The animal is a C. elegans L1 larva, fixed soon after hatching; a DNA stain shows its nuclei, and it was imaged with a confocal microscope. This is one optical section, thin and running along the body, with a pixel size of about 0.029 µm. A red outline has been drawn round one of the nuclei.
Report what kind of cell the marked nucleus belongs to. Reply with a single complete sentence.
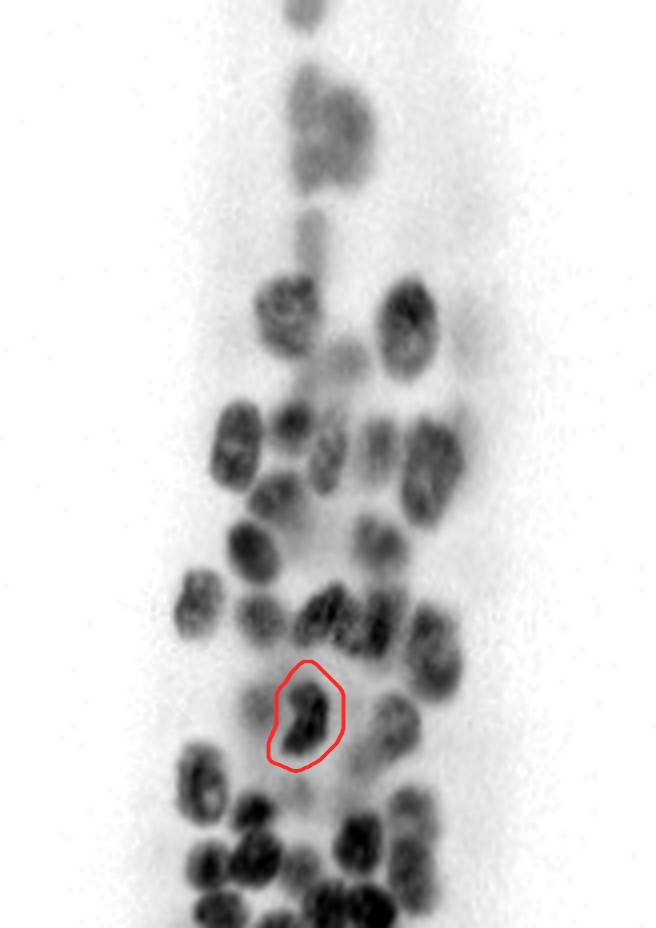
This nucleus is from a pharyngeal muscle cell.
